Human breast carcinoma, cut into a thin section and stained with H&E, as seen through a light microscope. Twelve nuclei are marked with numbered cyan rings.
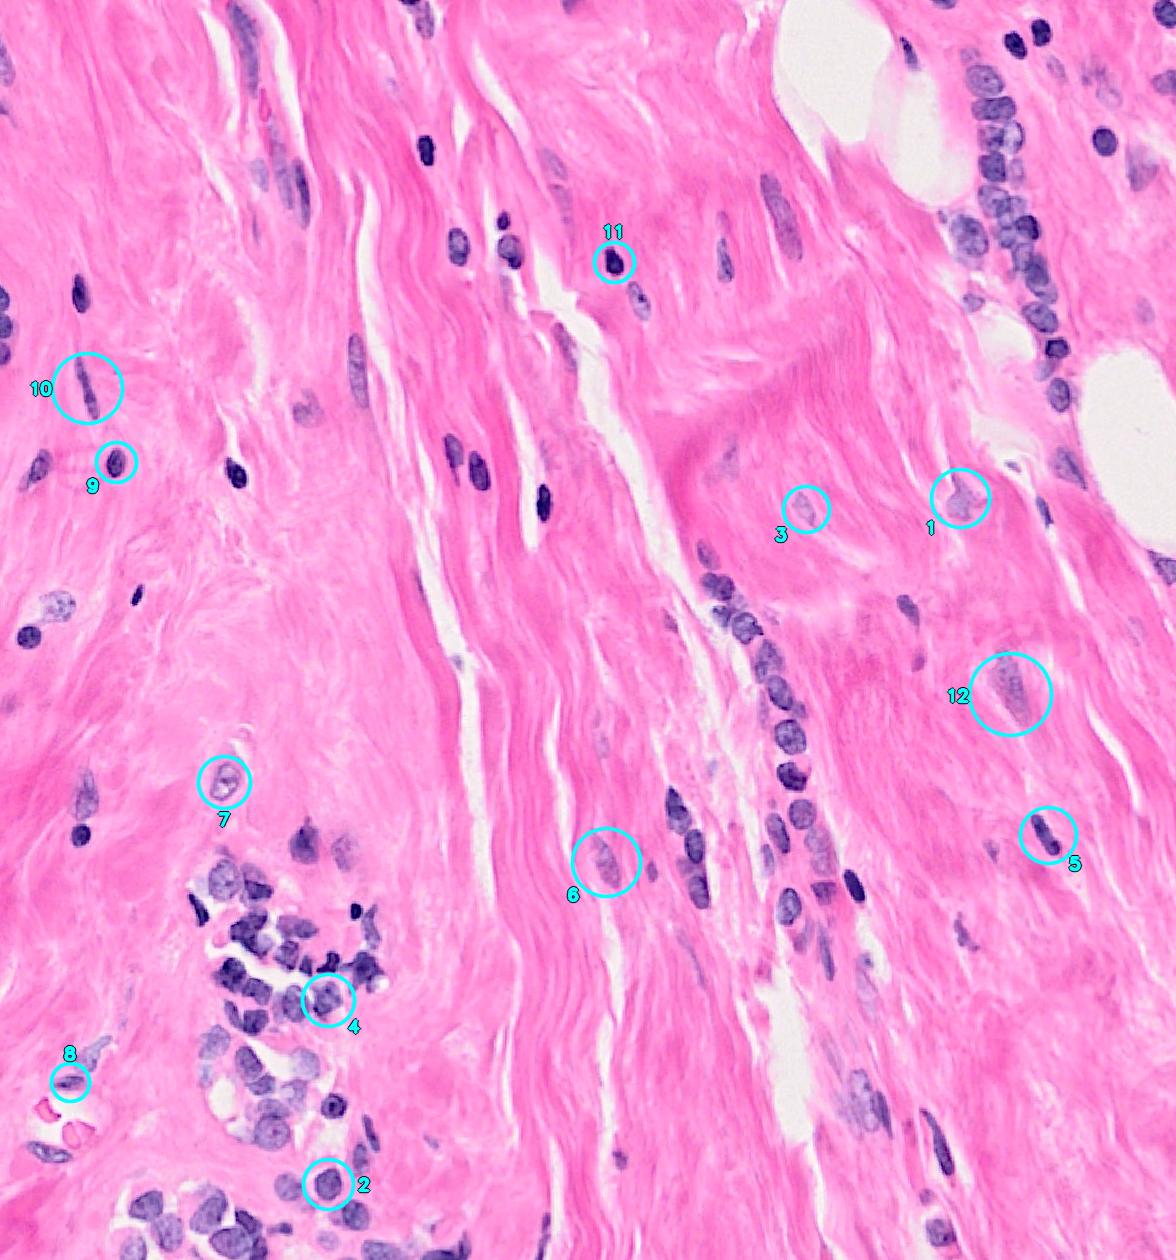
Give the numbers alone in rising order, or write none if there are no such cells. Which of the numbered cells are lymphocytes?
5, 9, 11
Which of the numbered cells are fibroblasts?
1, 3, 6, 7, 10, 12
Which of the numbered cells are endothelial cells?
8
